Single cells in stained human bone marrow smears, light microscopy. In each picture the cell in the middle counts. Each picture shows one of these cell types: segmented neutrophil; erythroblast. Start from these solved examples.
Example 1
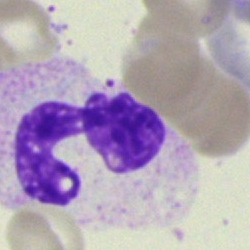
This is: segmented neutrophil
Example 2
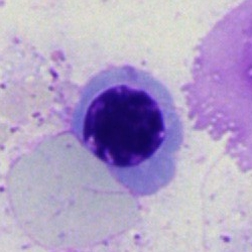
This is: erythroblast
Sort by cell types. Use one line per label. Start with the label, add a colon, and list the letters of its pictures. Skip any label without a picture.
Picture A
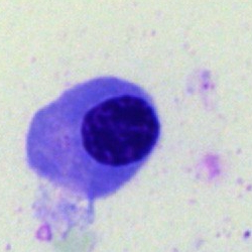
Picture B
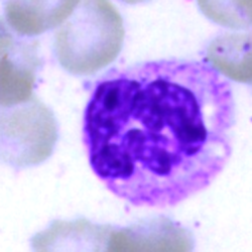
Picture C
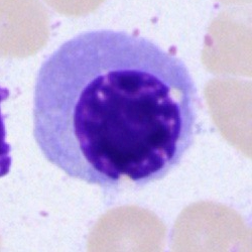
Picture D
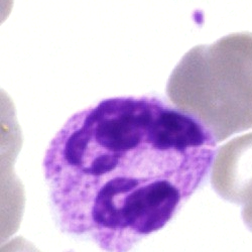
segmented neutrophil: B, D
erythroblast: A, C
